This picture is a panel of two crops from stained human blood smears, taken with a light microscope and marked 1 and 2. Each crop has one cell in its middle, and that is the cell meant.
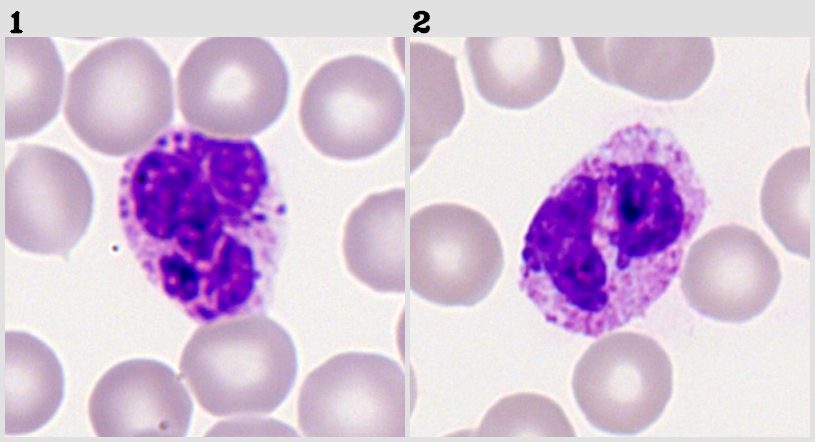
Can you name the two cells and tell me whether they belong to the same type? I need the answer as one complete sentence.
Yes, both crops have basophils at the centre.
